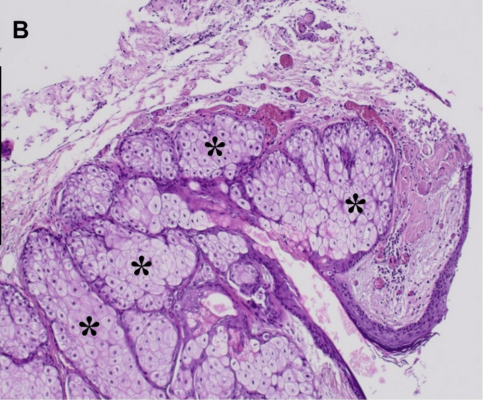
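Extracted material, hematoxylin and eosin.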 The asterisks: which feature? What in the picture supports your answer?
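Lobules of pale cells with bubbly, vacuolated cytoplasm. Small central nuclei in the pale cells. A thin rim of darker cells outlines each lobule. On this evidence: sebaceous glands.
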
